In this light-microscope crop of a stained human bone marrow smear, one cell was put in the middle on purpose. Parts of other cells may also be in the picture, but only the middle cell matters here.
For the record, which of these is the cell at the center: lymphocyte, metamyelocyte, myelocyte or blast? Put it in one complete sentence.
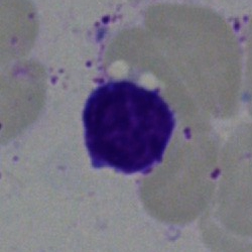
The cell under consideration, at the middle of the crop, is a lymphocyte.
